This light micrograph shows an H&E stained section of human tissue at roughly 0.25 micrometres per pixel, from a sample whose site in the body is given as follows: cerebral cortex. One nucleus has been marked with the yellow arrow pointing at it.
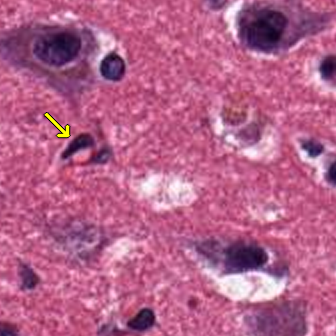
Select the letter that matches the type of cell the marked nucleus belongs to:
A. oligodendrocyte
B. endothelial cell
B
